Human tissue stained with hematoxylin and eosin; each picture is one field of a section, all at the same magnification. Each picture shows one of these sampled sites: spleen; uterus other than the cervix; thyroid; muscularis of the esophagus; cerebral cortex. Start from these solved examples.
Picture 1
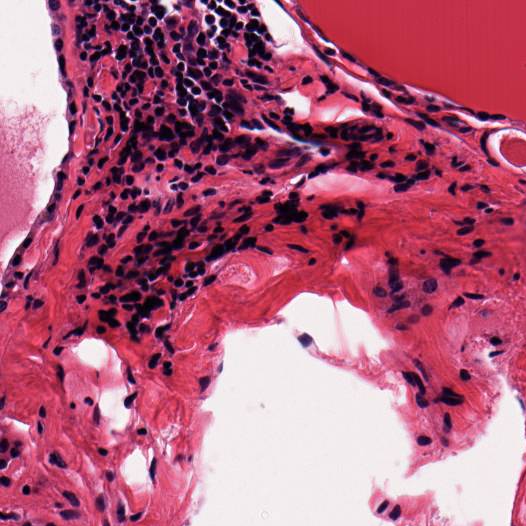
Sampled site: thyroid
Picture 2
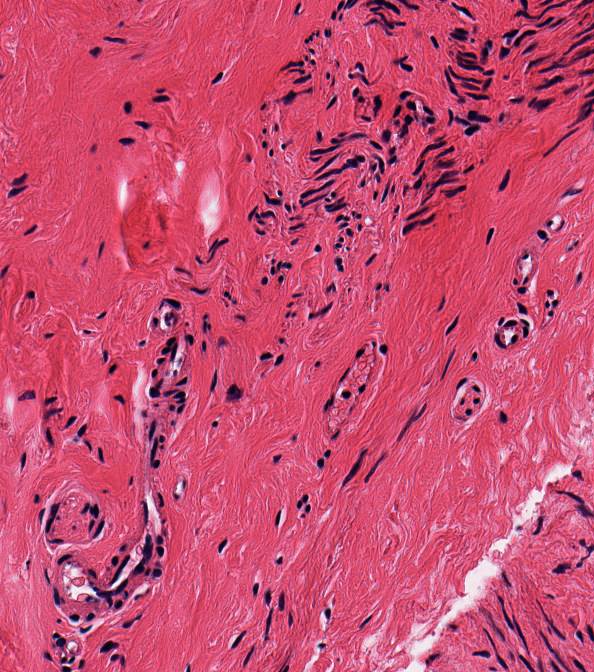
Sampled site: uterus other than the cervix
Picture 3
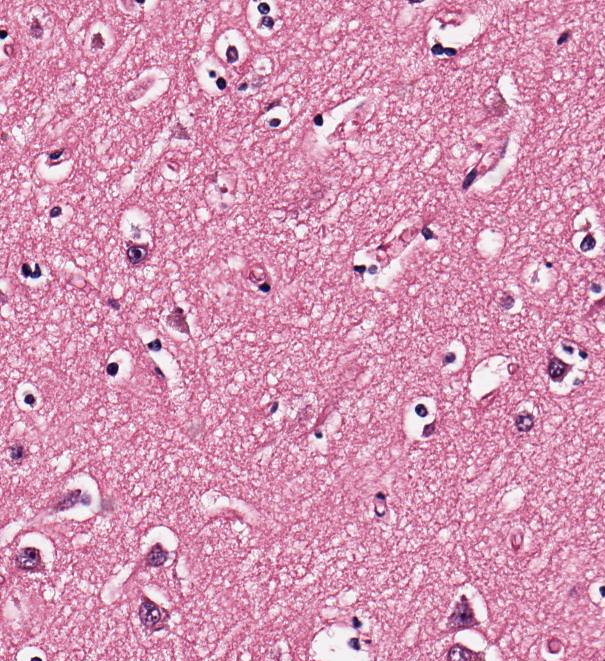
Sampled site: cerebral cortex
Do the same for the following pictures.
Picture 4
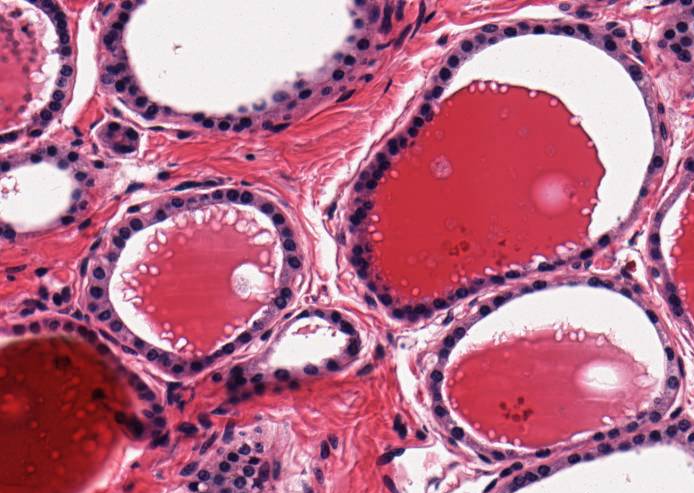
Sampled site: thyroid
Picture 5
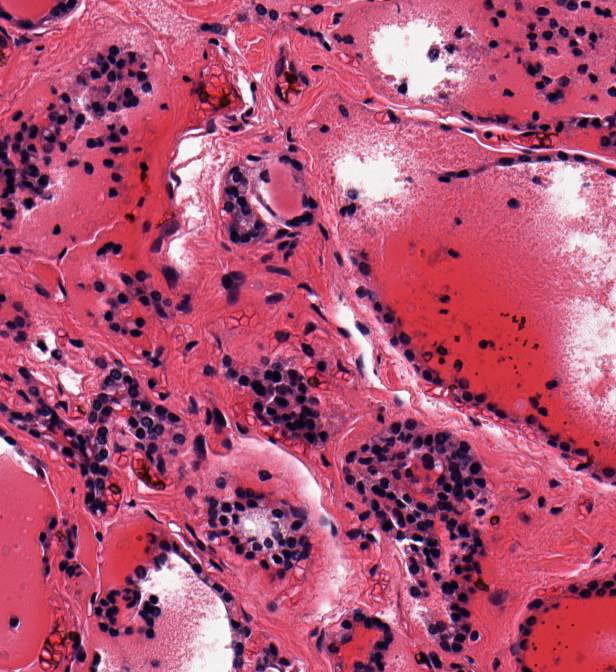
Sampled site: thyroid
